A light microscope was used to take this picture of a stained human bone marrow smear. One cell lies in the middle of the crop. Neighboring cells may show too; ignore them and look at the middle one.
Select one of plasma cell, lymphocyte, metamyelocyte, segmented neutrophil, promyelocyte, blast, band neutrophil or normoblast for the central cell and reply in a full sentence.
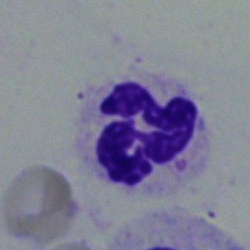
Framed in the middle of the crop is a segmented neutrophil.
